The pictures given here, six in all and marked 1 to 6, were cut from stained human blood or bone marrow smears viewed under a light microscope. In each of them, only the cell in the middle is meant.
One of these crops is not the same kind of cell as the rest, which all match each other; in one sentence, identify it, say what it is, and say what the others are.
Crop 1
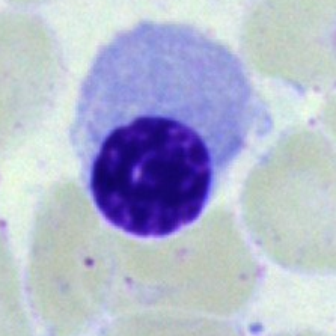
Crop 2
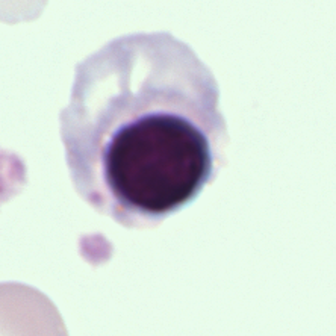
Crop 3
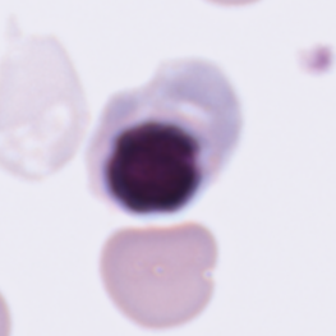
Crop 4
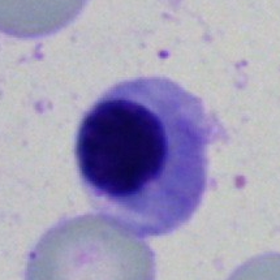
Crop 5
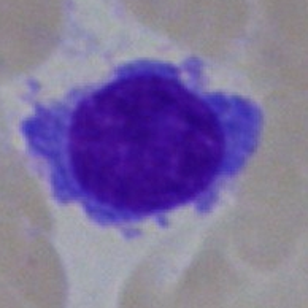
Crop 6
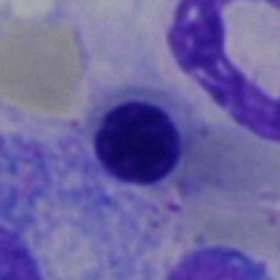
All of the other crops show erythroblasts, while crop 5 shows a plasma cell instead.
